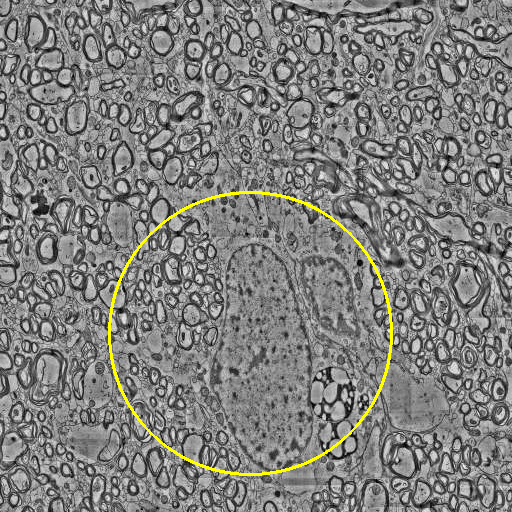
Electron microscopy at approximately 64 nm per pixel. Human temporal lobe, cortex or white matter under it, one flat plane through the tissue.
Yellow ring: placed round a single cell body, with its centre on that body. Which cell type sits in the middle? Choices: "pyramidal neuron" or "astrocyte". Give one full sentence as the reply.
It is an astrocyte whose cell body sits at the centre of the yellow ring.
